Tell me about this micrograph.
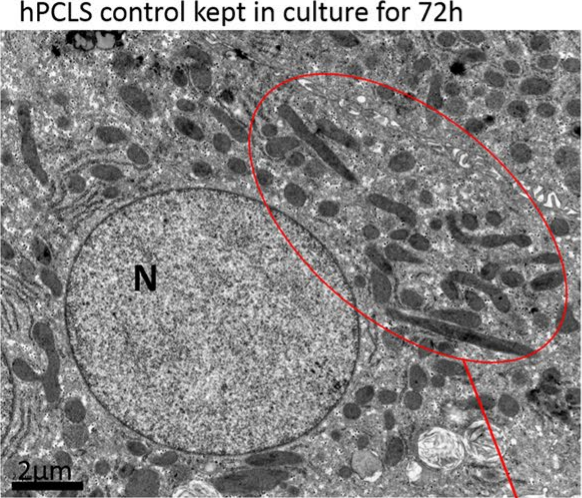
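This is a liver cell, a hepatocyte, seen by transmission electron microscopy. An oval nucleus with evenly granular chromatin and a thin, crisp envelope sits to the lower left. The surrounding cytoplasm is crowded with mitochondria of ordinary size, many round or oval in cross-section and several long and rod-like, some curved or branching. Between them run short parallel stacks of rough endoplasmic reticulum. A few dense bodies and membranous whorled structures appear at the edges. The mitochondria are fairly uniform in size and density, with no single giant organelle standing out.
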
